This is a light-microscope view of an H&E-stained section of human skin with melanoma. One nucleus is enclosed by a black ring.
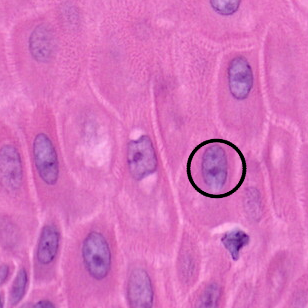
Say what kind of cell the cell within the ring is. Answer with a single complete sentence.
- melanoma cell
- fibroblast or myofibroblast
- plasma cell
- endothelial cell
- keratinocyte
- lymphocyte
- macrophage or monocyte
The cell within the ring is a keratinocyte.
